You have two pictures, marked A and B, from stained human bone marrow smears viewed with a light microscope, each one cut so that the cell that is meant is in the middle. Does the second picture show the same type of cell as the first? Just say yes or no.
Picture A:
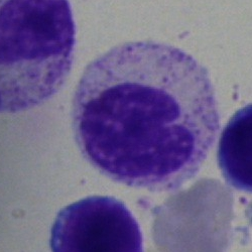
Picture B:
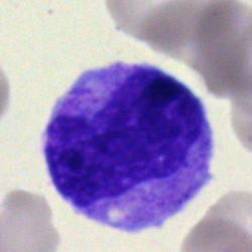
no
